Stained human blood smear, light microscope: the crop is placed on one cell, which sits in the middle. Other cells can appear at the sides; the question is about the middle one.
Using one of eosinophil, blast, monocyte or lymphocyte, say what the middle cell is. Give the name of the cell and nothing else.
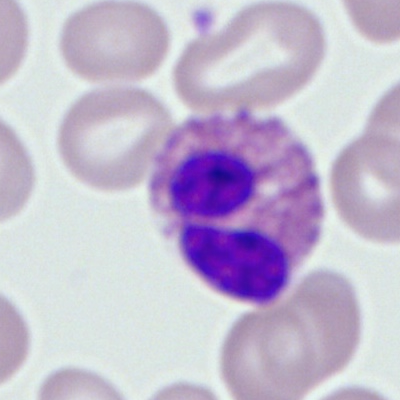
eosinophil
